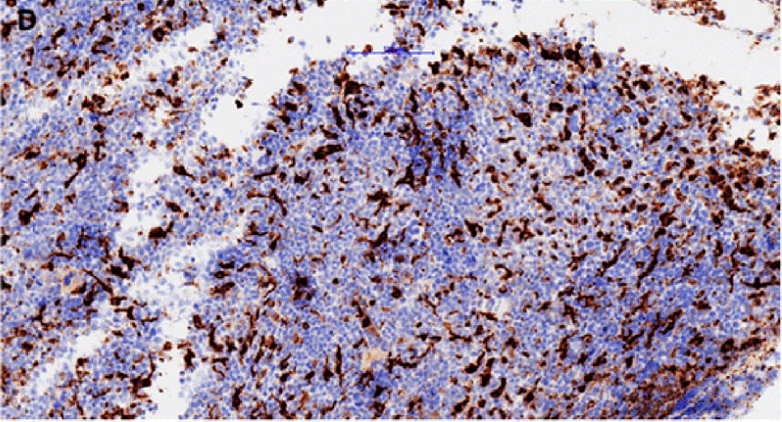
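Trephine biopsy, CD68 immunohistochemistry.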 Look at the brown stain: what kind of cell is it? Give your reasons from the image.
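Many brown-stained cells with irregular, branching cytoplasm. They are scattered among small blue-stained nuclei of other marrow cells. So: macrophages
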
